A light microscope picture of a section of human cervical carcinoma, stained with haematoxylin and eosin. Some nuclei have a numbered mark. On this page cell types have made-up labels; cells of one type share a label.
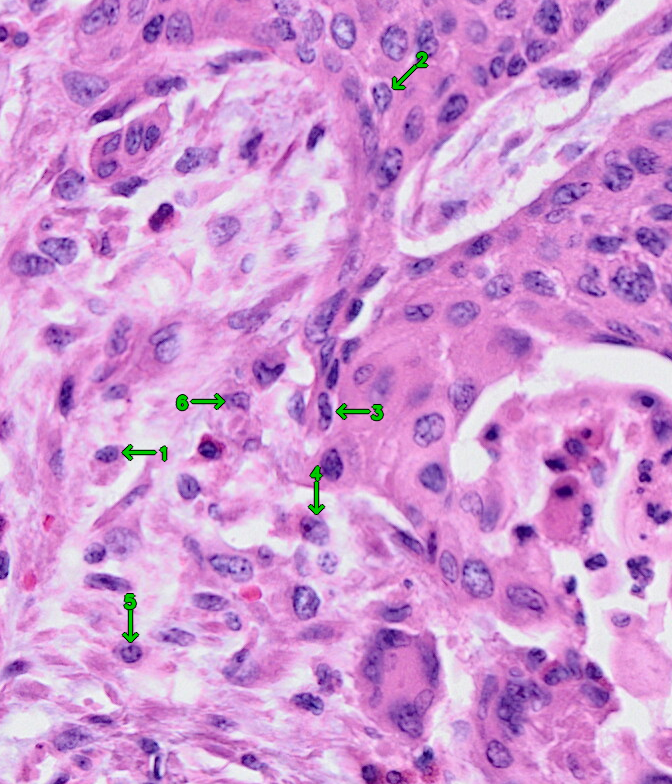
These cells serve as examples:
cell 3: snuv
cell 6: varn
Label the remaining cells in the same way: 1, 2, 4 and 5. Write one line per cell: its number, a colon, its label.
1: varn
2: snuv
4: varn
5: varn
